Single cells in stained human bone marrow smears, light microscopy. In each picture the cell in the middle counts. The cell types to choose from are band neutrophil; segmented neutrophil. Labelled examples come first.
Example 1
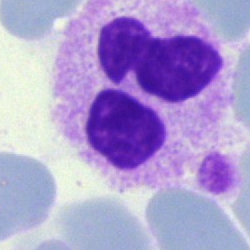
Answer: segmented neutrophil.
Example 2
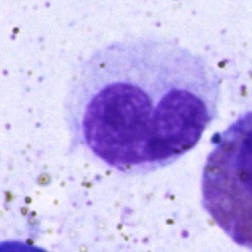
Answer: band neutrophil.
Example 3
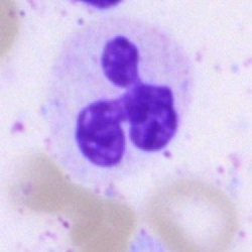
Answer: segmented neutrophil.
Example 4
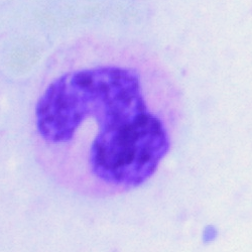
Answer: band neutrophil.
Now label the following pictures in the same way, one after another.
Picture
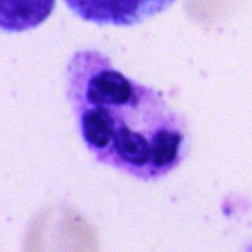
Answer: segmented neutrophil.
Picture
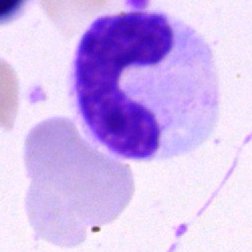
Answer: band neutrophil.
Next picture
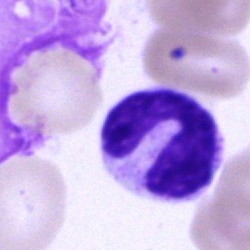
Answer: band neutrophil.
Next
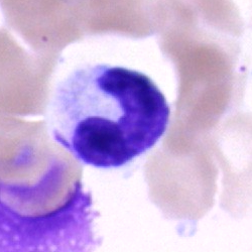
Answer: band neutrophil.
